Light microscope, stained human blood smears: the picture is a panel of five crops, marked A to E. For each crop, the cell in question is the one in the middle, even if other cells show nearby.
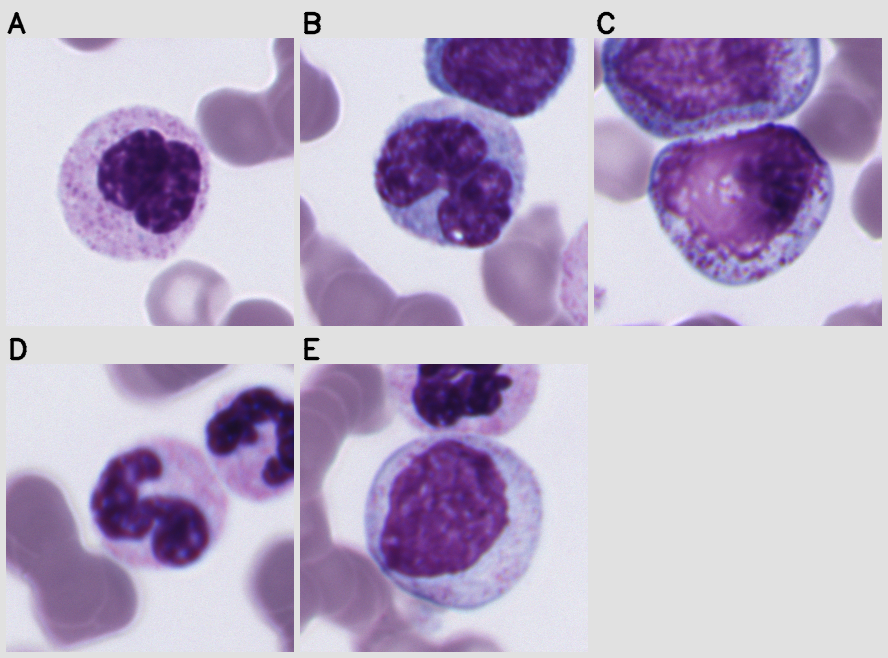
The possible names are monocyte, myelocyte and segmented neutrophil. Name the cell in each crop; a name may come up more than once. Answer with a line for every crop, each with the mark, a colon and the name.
A: segmented neutrophil
B: monocyte
C: myelocyte
D: segmented neutrophil
E: myelocyte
